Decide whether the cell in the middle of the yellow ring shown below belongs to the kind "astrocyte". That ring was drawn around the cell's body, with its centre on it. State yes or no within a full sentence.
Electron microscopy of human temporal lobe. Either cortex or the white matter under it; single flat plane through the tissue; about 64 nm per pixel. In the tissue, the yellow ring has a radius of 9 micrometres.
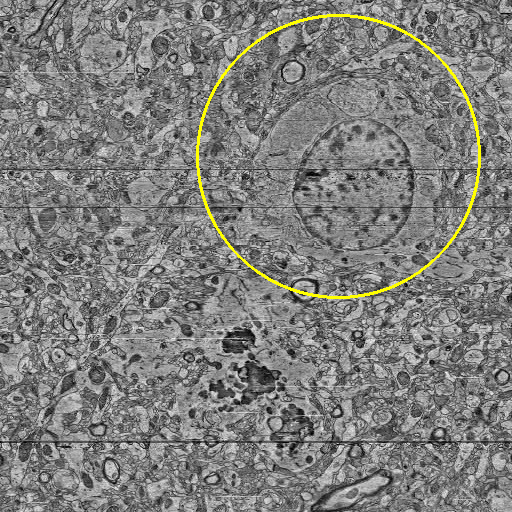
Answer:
Yes, the cell whose body lies at the ring's centre in the picture belongs to that kind.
